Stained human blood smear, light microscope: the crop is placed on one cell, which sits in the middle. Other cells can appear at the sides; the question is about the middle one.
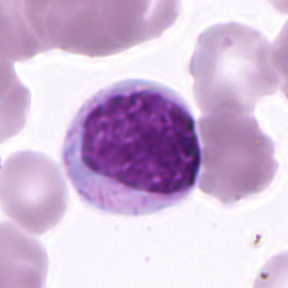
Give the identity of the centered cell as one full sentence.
The single cell at the center of the crop is a metamyelocyte.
